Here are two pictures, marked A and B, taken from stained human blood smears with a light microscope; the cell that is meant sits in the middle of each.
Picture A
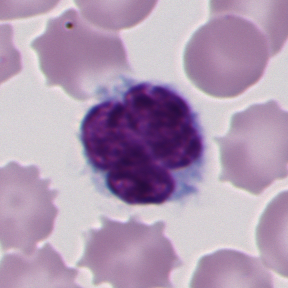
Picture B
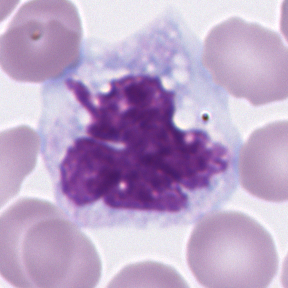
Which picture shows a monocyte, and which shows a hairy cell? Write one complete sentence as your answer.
In picture A the cell is a hairy cell; in picture B, a monocyte.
